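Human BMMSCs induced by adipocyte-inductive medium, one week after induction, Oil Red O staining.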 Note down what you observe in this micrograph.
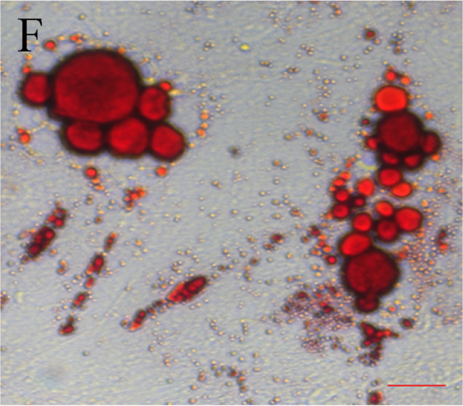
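Two main groups hold large, round red droplets, some very big and lying beside one another, surrounded by many small orange-red droplets. Elsewhere, small red droplets line up in rows along elongated, spindle-like shapes, likely following the outline of single cells. Fine reddish specks are scattered across the field. No nuclei or cell borders are stained, so the cells themselves are seen mainly through the droplets they contain.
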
